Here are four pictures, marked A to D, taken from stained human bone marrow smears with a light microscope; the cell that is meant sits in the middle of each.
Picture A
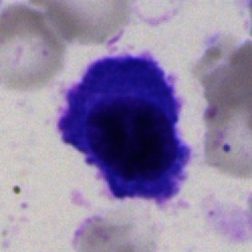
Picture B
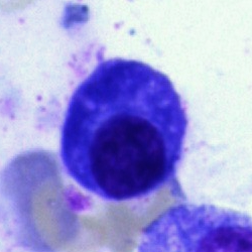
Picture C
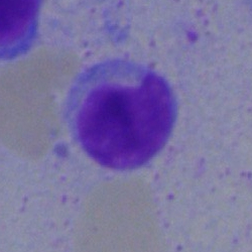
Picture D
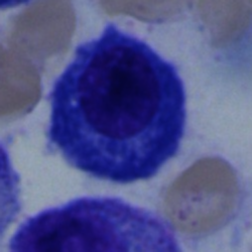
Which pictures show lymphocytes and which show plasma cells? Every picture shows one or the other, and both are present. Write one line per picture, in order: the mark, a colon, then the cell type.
A: plasma cell
B: plasma cell
C: lymphocyte
D: plasma cell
